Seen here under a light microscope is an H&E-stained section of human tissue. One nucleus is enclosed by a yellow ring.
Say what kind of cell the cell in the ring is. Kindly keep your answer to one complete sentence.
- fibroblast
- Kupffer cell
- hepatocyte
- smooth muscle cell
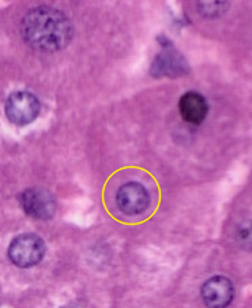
Just put down that the cell in the ring is a hepatocyte.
